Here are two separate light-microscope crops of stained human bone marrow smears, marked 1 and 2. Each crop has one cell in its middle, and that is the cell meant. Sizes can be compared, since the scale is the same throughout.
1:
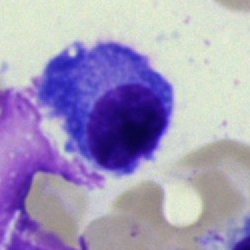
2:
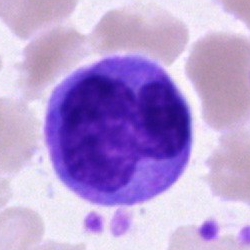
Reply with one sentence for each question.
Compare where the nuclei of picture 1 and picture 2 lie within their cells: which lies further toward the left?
The nucleus in picture 2 lies further toward the left of its cell.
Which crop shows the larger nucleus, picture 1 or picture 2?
Picture 2 shows the larger nucleus; it covers about 2.5 times the area of the nucleus in picture 1.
